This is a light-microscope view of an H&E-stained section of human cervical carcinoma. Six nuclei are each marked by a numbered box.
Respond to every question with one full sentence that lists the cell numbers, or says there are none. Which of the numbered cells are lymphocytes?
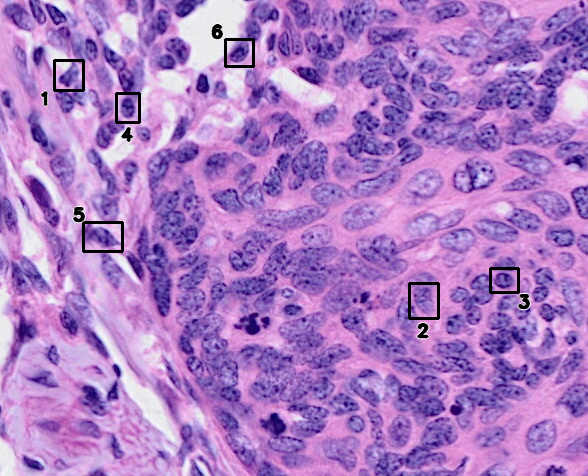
The cells marked 1, 4, 5 and 6 in the section are lymphocytes.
